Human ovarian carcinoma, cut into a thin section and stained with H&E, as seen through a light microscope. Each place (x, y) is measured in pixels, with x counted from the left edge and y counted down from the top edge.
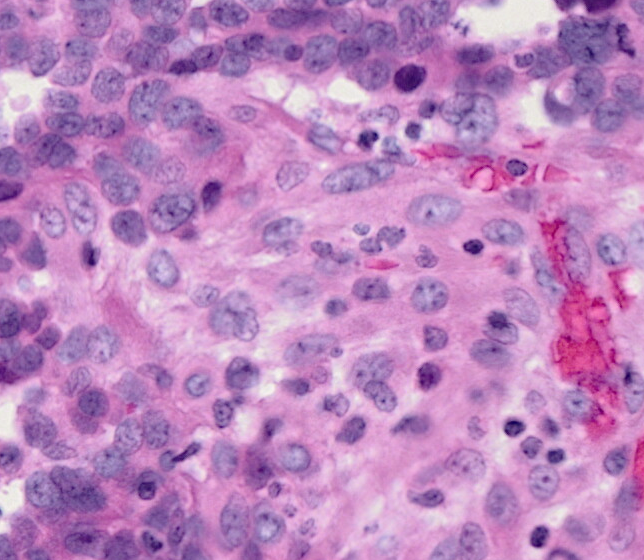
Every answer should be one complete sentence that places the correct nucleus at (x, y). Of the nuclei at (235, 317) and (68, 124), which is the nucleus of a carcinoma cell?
The nucleus at (68, 124) is identified as belonging to a carcinoma cell.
